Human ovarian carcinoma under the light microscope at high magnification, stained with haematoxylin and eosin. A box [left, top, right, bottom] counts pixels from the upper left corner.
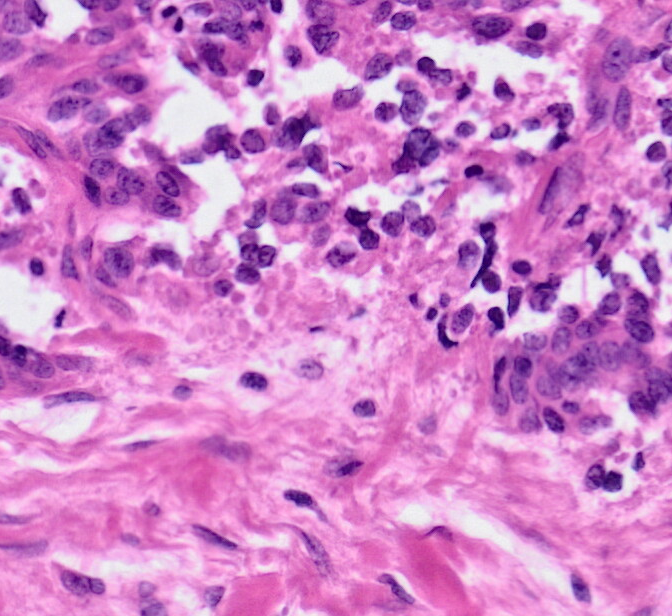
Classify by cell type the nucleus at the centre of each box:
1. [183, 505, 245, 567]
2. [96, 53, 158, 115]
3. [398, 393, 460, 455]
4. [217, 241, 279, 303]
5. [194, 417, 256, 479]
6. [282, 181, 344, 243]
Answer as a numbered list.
1. fibroblast
2. carcinoma cell
3. fibroblast
4. carcinoma cell
5. fibroblast
6. carcinoma cell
